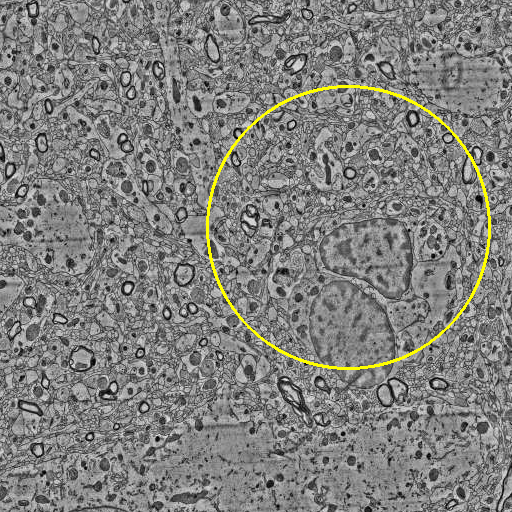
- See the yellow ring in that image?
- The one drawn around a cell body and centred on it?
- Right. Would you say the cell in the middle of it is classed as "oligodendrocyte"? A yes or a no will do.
no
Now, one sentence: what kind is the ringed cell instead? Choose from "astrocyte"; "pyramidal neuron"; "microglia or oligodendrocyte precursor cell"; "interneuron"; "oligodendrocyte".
The answer is that the ringed cell is a microglial cell or oligodendrocyte precursor cell.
